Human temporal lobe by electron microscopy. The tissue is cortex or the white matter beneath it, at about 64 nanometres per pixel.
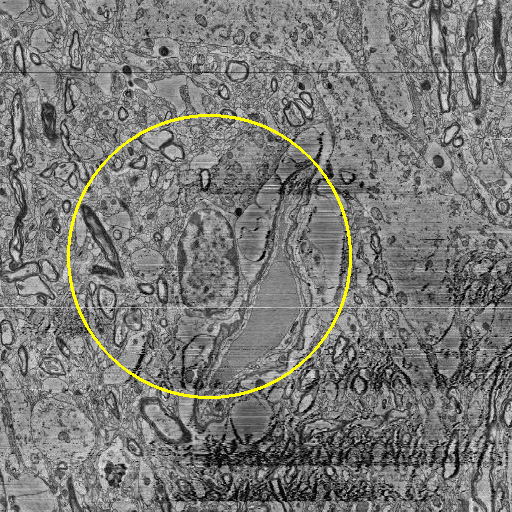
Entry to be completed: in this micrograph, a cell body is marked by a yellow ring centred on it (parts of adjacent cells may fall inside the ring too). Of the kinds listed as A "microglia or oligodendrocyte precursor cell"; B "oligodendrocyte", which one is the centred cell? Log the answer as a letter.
A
